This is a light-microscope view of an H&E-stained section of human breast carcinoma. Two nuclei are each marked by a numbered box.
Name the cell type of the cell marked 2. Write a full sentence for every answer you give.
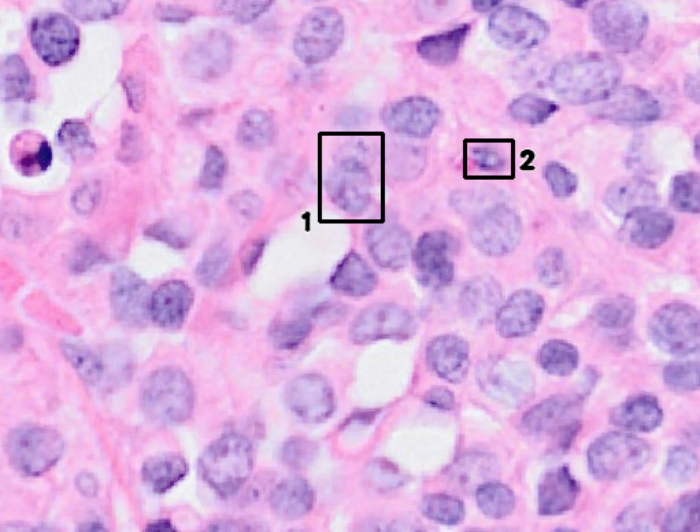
In this section, the cell numbered 2 is an endothelial cell.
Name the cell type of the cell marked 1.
The cell carrying label 1 is identified as a carcinoma cell.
